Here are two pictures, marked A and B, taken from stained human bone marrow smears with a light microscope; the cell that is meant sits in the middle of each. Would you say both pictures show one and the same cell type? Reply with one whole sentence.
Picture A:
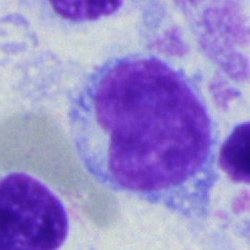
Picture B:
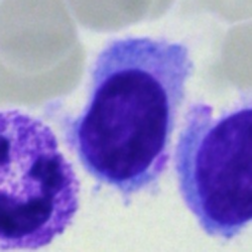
Yes; the cells in both pictures are hairy cells.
